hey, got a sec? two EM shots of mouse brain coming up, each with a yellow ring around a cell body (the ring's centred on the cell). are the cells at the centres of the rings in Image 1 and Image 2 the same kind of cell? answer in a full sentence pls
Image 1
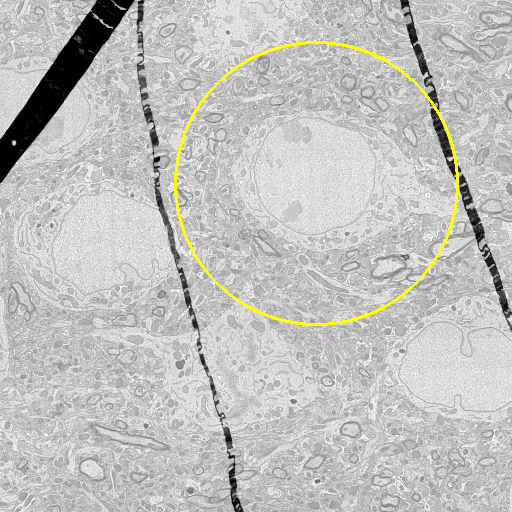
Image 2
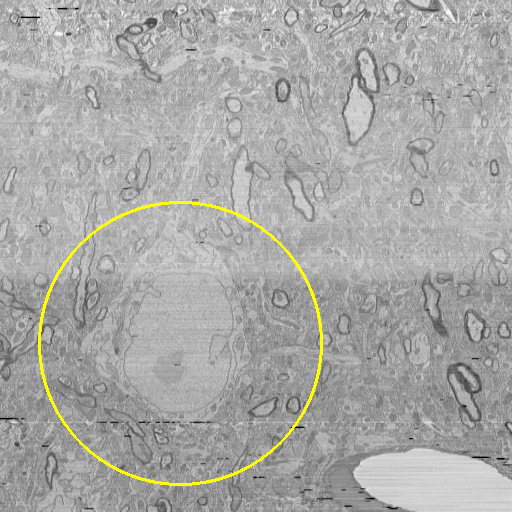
Yes, both are the same kind of cell.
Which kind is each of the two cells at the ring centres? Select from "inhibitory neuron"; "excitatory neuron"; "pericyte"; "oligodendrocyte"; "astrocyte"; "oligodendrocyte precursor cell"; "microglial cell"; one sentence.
The cell in the first picture is an excitatory neuron, and so is the one in the second.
